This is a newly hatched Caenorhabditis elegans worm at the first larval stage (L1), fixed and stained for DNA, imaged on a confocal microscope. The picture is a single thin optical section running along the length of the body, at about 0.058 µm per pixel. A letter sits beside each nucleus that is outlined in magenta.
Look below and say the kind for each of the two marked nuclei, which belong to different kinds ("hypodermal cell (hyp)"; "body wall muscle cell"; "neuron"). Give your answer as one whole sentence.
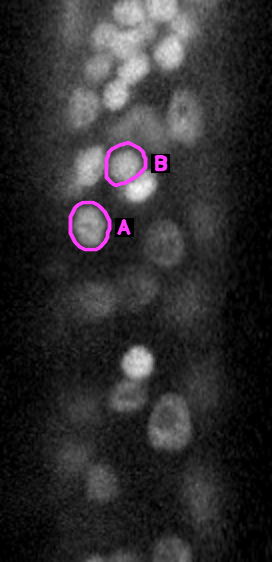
One is from a body wall muscle cell, namely A, and the other, B, is from a neuron.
